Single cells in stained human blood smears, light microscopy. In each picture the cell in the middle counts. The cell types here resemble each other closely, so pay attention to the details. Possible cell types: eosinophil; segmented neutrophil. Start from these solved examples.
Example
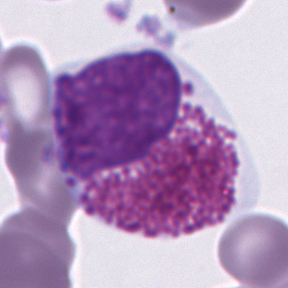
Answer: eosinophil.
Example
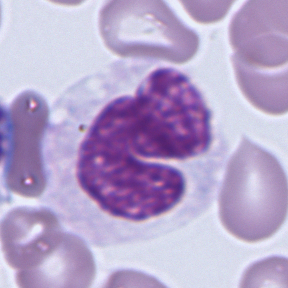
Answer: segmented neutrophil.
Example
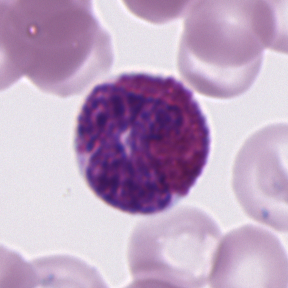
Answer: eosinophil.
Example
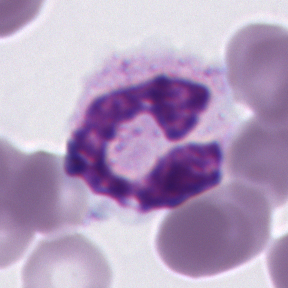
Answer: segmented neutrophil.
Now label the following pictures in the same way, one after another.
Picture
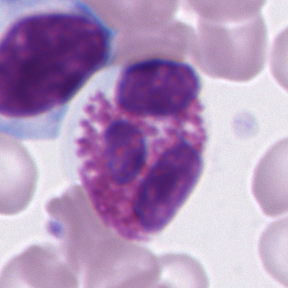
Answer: eosinophil.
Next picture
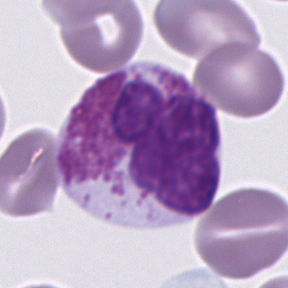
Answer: eosinophil.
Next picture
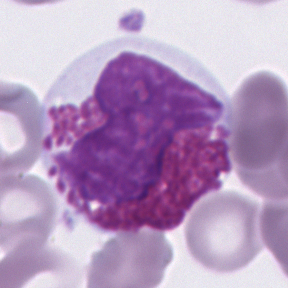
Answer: eosinophil.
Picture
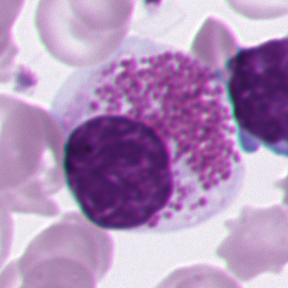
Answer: eosinophil.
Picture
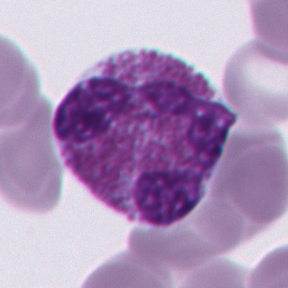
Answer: eosinophil.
